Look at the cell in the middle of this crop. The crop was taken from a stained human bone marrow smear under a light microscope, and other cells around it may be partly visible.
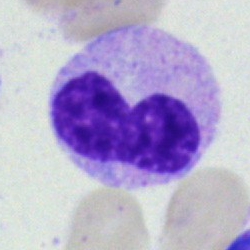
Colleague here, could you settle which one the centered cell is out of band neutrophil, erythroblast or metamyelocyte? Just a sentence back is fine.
The cell the crop is centered on is a band neutrophil.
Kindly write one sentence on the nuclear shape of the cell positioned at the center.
If you check the nucleus, you will find one compact mass, round, oval or kidney-shaped.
